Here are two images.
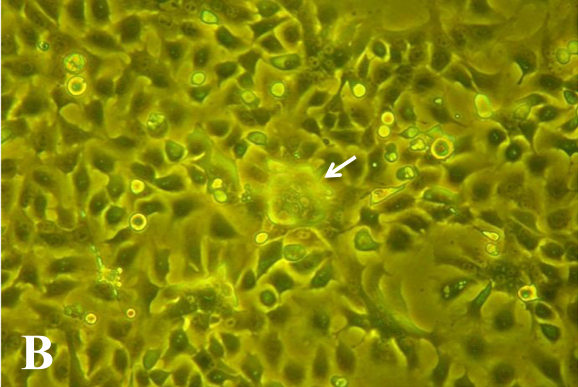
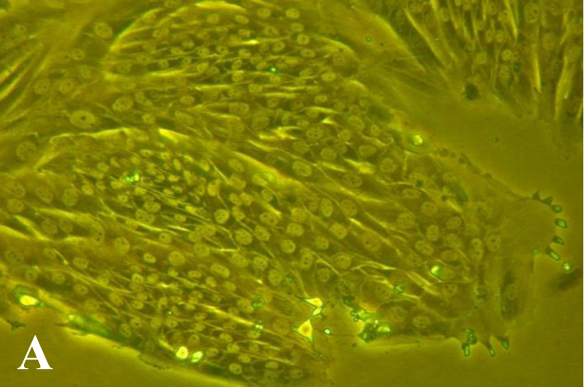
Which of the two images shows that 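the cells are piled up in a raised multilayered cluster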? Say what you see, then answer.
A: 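Second image: cells form a flat single sheet with no raised clusters. First image: a raised, bright cluster of stacked cells stands out from the surrounding layer.
The first image.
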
